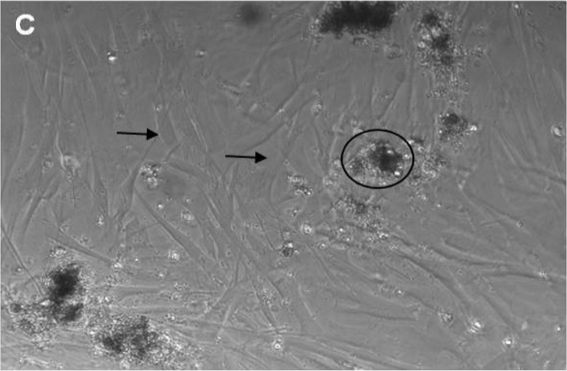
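This culture shows many fibroblast-shaped cells attached to the bottom of the plate, with long, thin spindle-shaped bodies and tapering ends. The elongated cells lie flat and overlap, running in loosely parallel streams across much of the field. Scattered among them are rounded, dense, granular cell clusters, some of them very dark.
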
